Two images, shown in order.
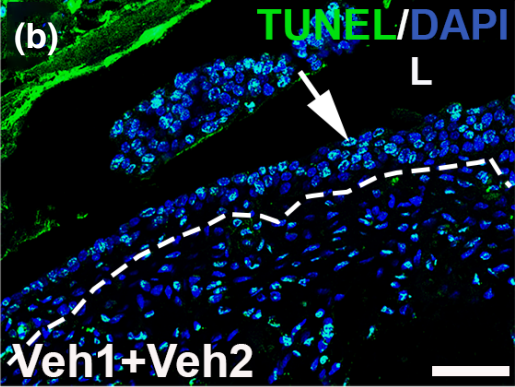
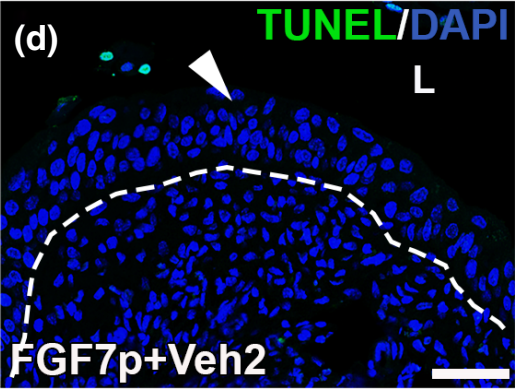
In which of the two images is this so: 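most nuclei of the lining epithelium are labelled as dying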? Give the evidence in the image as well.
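The first image. Second image: the epithelial nuclei are plain blue with no green tint. First image: many epithelial nuclei above the dashed line are green-cyan.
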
